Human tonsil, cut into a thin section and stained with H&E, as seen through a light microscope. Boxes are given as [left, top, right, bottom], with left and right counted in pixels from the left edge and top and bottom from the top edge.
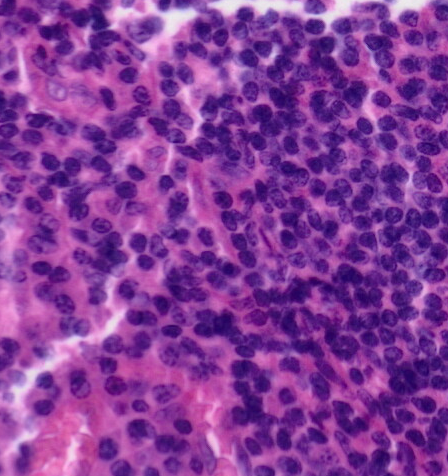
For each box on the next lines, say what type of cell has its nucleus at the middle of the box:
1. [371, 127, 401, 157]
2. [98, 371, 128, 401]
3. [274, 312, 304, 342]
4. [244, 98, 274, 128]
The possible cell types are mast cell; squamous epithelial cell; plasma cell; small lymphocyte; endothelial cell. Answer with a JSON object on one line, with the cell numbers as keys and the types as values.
{"1": "small lymphocyte", "2": "plasma cell", "3": "small lymphocyte", "4": "small lymphocyte"}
